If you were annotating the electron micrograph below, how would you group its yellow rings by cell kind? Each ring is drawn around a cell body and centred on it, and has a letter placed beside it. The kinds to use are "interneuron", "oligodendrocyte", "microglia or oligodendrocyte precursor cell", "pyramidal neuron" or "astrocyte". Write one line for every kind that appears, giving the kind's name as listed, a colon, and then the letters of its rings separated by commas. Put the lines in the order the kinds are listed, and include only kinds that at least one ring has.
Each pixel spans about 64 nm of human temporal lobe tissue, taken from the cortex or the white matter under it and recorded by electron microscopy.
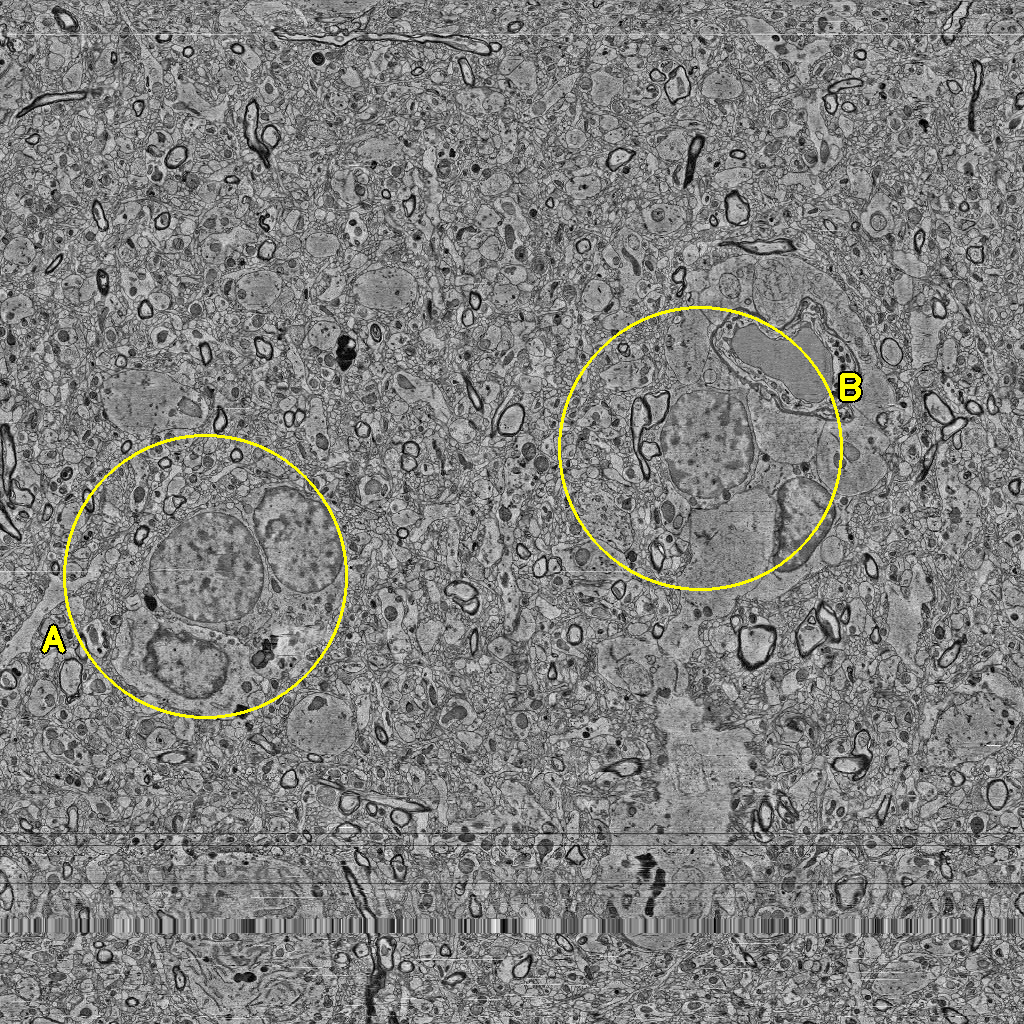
oligodendrocyte: A, B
